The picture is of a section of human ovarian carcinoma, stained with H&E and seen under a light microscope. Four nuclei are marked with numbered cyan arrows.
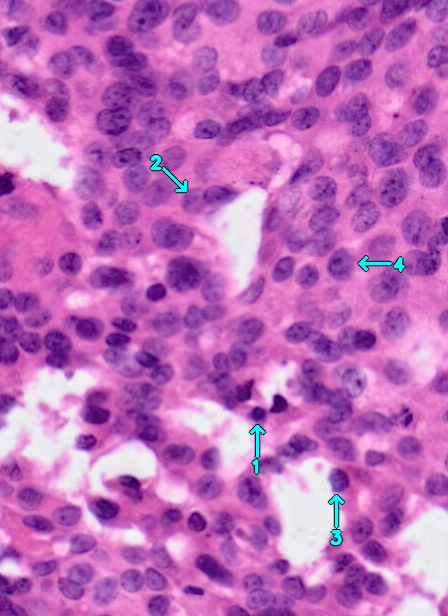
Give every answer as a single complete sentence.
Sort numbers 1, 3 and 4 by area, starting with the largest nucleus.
By area, largest first, they run 4, 3, 1.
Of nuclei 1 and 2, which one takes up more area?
Nucleus 2 covers more area, about 1.5 times as much as nucleus 1.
